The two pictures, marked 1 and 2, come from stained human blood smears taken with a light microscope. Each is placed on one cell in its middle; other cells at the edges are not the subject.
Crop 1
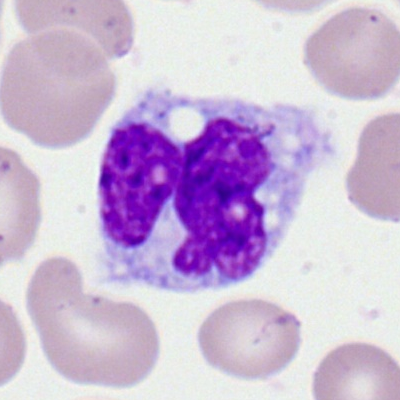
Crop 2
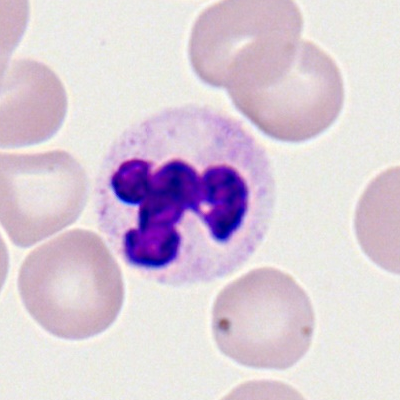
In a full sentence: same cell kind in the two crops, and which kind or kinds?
No, it is in crop 1 that a monocyte is shown, and in crop 2 that a segmented neutrophil is shown.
